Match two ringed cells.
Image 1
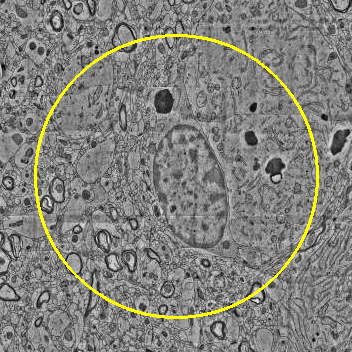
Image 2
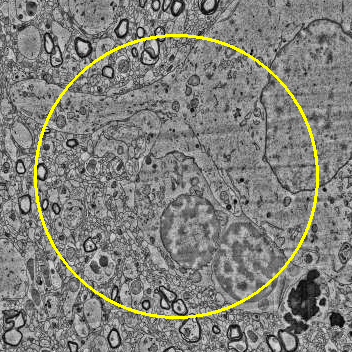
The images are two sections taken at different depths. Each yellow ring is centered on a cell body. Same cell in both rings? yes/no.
no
